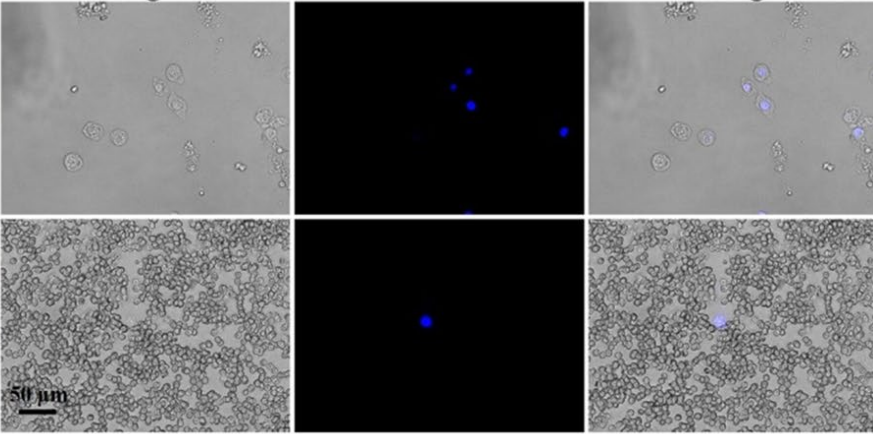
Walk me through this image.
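In the sparse preparation a few large round cells with distinct outlines lie scattered among small clusters of much smaller round cells, and several of the large cells carry a compact blue fluorescent spot in the merged view. In the dense smear small round blood cells are packed closely across the whole field, and a single blue fluorescent spot marks one larger cell among them.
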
